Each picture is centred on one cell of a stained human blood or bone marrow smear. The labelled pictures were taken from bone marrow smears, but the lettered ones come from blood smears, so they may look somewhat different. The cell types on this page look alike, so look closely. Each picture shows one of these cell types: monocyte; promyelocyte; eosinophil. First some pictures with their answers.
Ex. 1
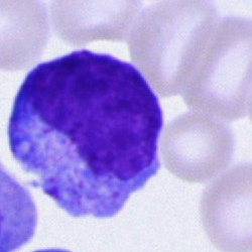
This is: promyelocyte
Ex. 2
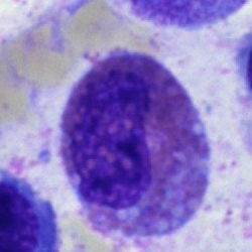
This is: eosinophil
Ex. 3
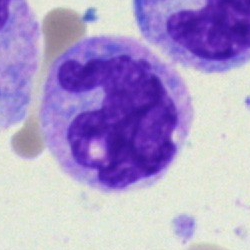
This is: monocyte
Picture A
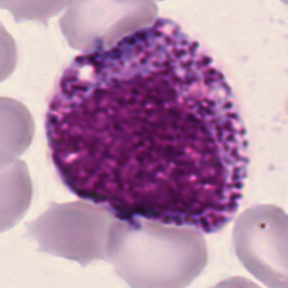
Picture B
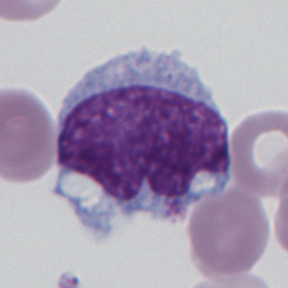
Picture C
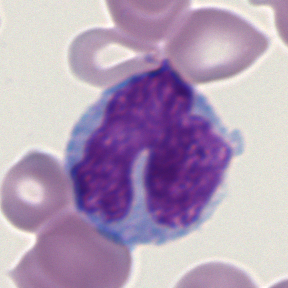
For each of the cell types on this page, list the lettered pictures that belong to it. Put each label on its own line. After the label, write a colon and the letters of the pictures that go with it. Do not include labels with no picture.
monocyte: B, C
promyelocyte: A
